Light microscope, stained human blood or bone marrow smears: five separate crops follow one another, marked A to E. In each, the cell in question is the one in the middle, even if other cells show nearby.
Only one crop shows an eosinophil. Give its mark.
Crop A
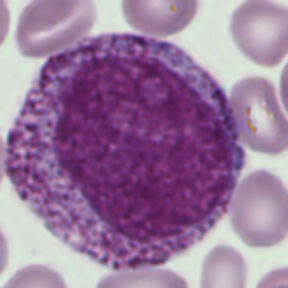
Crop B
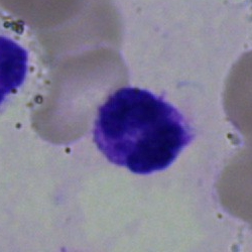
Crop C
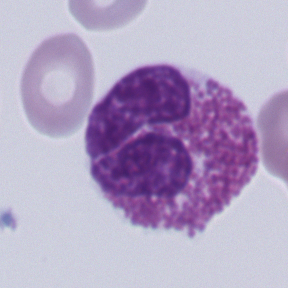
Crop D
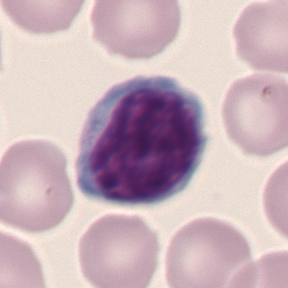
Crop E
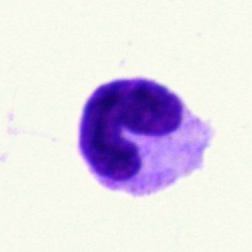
C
